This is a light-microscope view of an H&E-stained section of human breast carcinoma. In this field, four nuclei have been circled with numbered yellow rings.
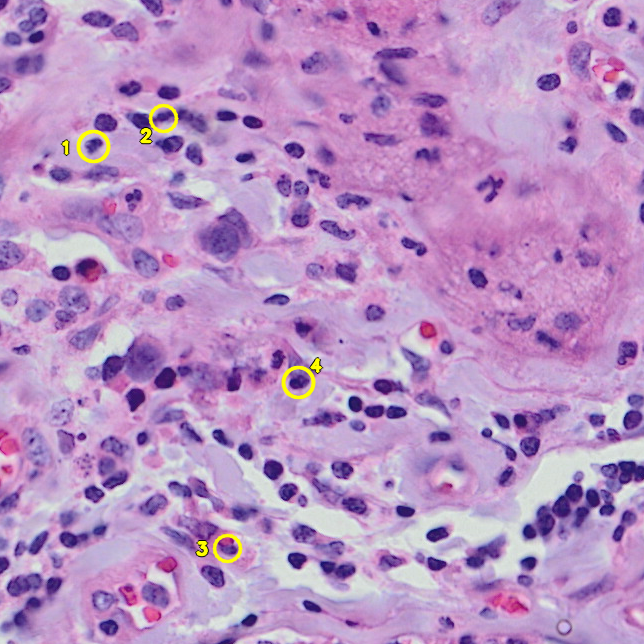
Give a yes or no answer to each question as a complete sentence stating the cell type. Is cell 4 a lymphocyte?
Yes, number 4 corresponds to a lymphocyte.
